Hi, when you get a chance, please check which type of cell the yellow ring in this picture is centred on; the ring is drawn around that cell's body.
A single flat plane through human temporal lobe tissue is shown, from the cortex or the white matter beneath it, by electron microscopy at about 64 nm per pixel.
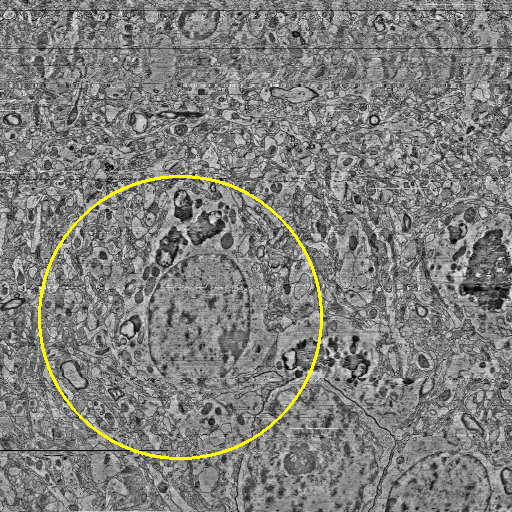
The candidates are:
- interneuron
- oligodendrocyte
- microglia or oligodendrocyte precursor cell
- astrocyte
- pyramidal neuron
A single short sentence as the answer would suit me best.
The ring is drawn around the body of an astrocyte.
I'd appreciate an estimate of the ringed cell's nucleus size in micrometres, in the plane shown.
Approximately 9 micrometres long and 7 micrometres wide, in this plane.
